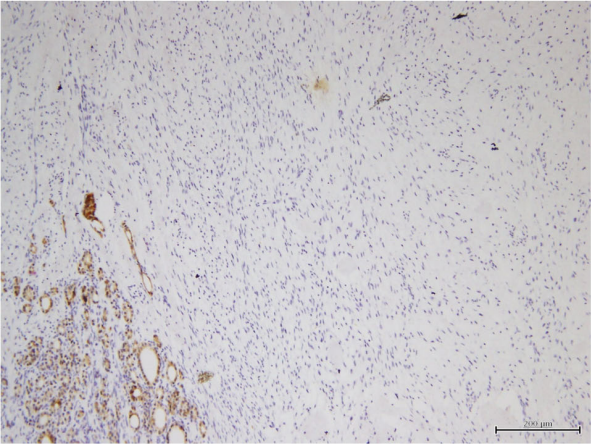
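This field shows spindle tumor cells in thyroid tissue, with a small area of thyroid follicles at the lower left. The spindle cells have elongated blue nuclei and pale cytoplasm, arranged in loose streaming fascicles, and carry no brown stain. At the lower left, rounded follicles lined by a single layer of cells stain brown along their epithelium, some containing clear colloid spaces. A few small brown specks lie scattered among the spindle cells.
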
